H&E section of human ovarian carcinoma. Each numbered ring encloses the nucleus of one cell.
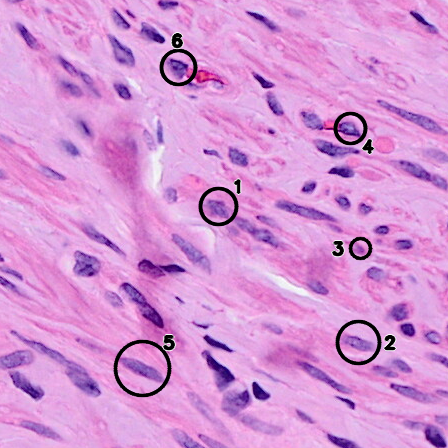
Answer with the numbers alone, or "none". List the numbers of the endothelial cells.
4, 6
